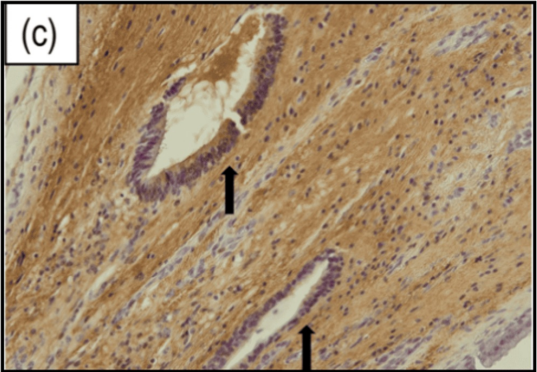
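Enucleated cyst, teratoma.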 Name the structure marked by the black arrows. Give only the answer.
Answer: Tubal structures lined with columnar epithelial cells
